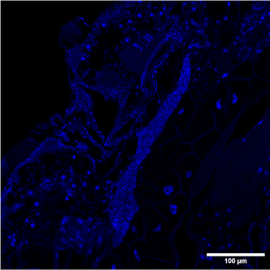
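Within the band the nuclei are small and packed closely together, giving it a bright, granular look. Outside it the nuclei are sparser and scattered through fainter tissue, some outlining larger compartments and some lying singly. The dark spaces between tissues show where no nuclei lie. The band's crowded nuclei contrast clearly with the loosely spread nuclei of the tissues around it.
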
